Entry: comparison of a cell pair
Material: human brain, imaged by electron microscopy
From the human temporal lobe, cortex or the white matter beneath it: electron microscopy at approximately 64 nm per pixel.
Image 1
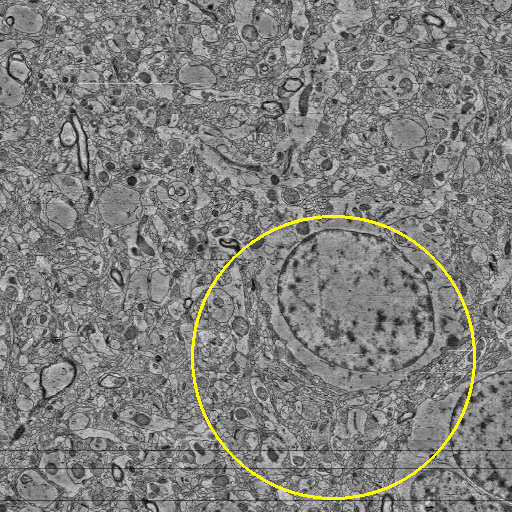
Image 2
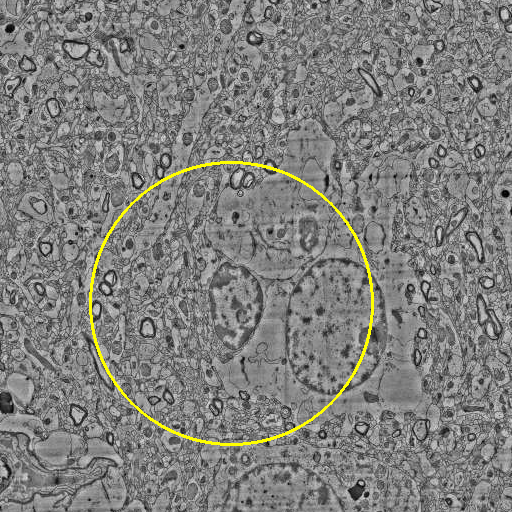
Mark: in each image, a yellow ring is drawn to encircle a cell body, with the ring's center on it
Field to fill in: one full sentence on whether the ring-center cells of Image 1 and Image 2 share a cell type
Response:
No, Image 1 and Image 2 show ring-center cells of two separate types.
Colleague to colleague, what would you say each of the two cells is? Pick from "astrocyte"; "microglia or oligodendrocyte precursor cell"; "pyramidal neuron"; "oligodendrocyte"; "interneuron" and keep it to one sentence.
The cell in the first picture is an astrocyte; the second picture's cell is a microglial cell or oligodendrocyte precursor cell.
